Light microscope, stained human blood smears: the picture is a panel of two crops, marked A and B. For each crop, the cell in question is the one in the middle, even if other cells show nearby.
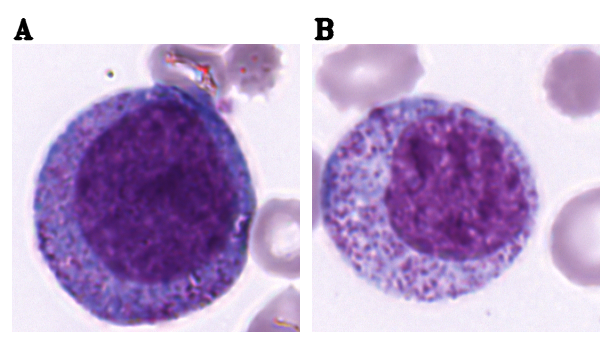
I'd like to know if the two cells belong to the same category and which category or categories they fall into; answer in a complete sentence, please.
Yes, both crops in the pair show promyelocytes.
